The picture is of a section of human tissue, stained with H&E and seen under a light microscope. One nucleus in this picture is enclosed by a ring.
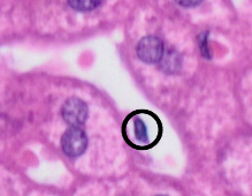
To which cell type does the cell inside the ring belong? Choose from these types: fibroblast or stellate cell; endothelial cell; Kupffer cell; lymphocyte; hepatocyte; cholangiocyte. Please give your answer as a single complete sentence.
It is as a lymphocyte that the cell inside the ring is classified.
